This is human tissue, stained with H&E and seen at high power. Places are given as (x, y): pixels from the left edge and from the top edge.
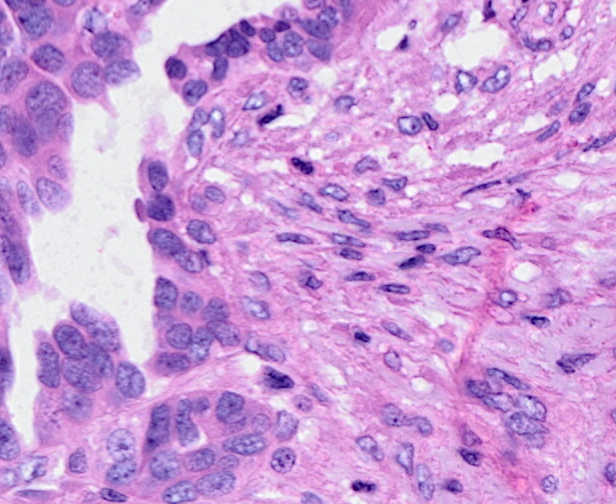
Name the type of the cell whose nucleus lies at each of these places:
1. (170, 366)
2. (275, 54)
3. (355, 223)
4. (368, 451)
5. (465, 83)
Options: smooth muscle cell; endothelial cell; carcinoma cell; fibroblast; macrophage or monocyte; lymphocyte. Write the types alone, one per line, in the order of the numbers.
carcinoma cell
carcinoma cell
fibroblast
fibroblast
fibroblast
